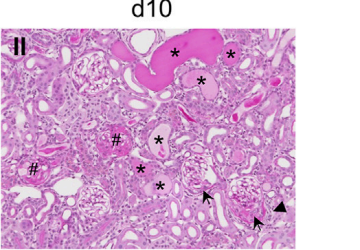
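This section of kidney cortex shows tubules, several of them dilated and filled with homogeneous bright pink protein casts, and glomeruli altered by disease. The interstitium between tubules is widened and holds many small dark nuclei. The regular close packing of tubules seen in normal cortex is lost in much of the field.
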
